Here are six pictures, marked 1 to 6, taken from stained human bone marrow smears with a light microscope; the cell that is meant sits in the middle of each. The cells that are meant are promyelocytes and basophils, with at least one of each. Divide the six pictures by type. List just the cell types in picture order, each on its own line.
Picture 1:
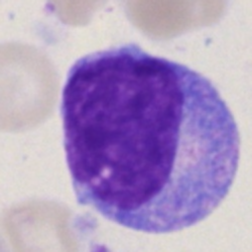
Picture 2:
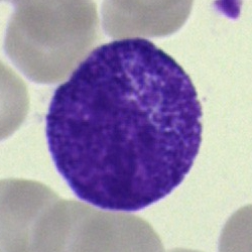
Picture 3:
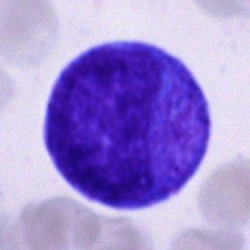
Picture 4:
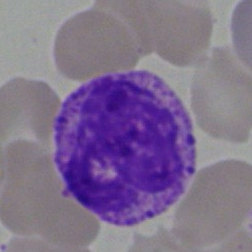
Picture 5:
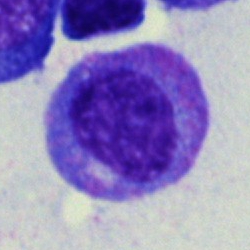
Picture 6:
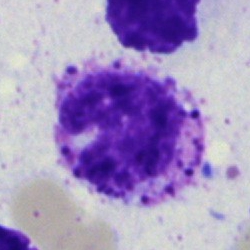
promyelocyte
promyelocyte
promyelocyte
basophil
promyelocyte
basophil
